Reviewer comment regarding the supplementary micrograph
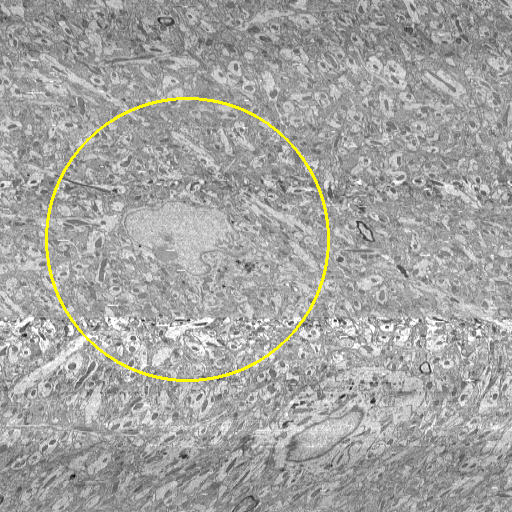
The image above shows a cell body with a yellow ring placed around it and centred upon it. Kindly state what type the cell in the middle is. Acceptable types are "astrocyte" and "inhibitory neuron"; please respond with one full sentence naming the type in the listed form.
In the image above, the cell on which the yellow ring is centred is an astrocyte.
